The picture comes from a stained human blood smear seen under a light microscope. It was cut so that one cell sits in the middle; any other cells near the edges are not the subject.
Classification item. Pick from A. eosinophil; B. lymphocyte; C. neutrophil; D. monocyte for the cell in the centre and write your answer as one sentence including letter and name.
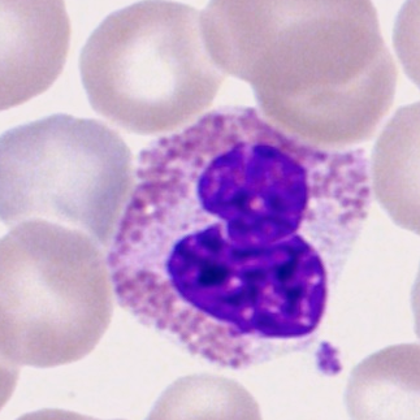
What option A states is correct, the central cell being an eosinophil.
